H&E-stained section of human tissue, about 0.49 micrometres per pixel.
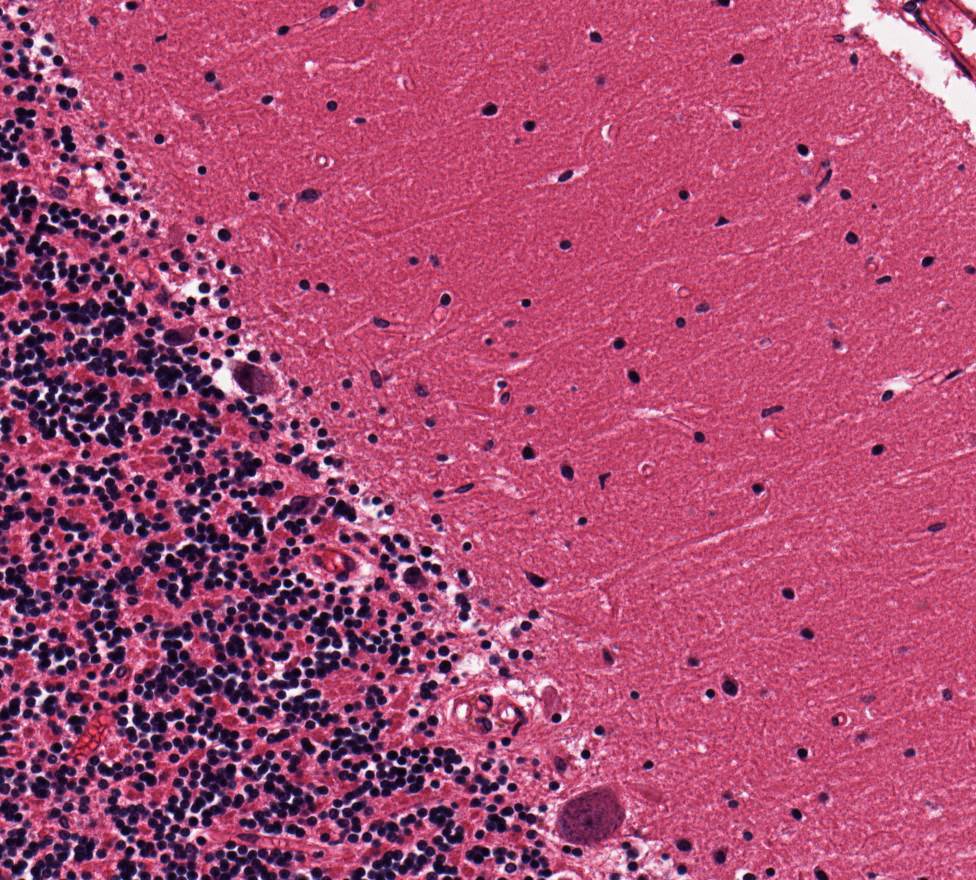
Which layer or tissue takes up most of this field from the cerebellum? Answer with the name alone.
molecular layer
